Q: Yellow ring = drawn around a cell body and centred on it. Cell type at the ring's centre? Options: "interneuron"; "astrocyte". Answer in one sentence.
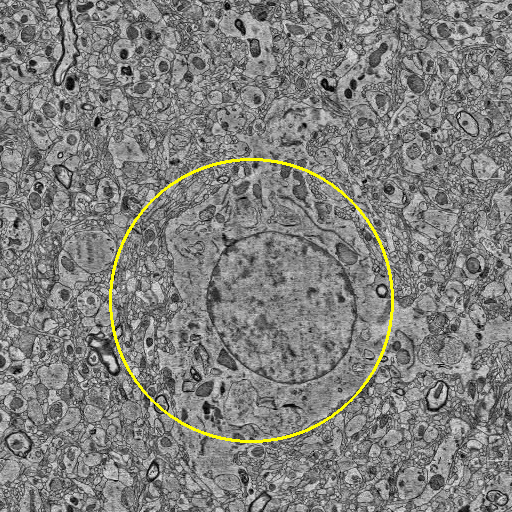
Centred in the ring is an astrocyte.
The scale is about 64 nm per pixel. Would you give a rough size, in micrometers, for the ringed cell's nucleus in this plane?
About 10 by 9 micrometers for the nucleus, in this plane.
